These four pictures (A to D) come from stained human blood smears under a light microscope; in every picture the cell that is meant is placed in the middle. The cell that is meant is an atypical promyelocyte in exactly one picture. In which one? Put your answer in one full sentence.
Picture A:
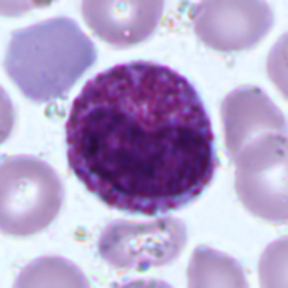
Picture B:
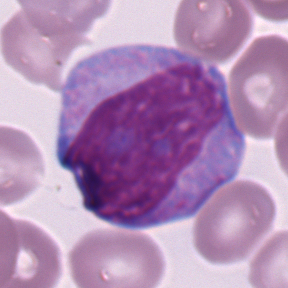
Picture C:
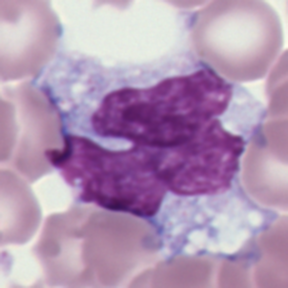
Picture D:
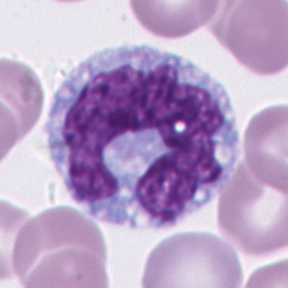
The atypical promyelocyte is the one in picture B.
